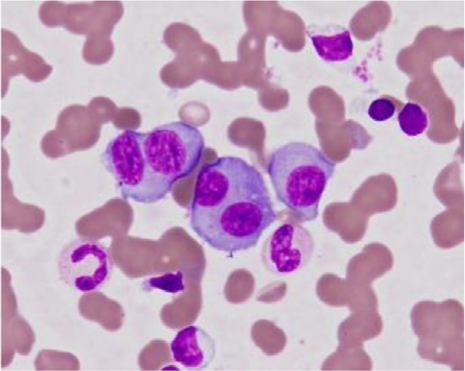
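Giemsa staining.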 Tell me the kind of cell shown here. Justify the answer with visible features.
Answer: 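Plasma cells. Their round nuclei with clumped chromatin sit off-centre. One of the large cells holds two nuclei.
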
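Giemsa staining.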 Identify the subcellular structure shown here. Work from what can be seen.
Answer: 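A paler zone of cytoplasm lies beside the nuclei of the large blue cells. That points to this answer: perinuclear halo.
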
